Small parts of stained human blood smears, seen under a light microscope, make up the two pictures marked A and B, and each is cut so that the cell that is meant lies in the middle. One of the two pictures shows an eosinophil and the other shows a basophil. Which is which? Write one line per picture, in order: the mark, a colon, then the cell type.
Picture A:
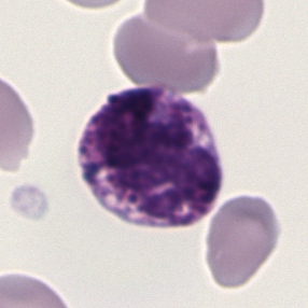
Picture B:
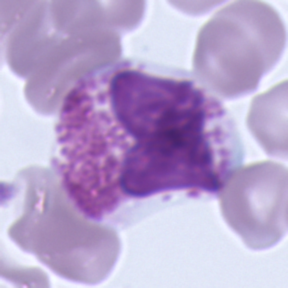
A: basophil
B: eosinophil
